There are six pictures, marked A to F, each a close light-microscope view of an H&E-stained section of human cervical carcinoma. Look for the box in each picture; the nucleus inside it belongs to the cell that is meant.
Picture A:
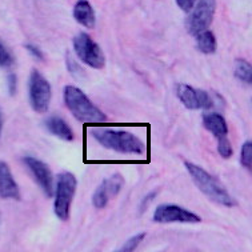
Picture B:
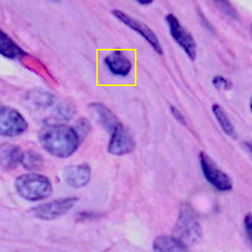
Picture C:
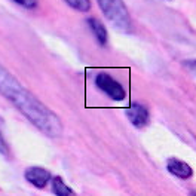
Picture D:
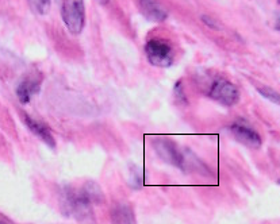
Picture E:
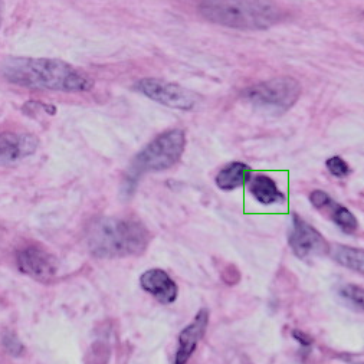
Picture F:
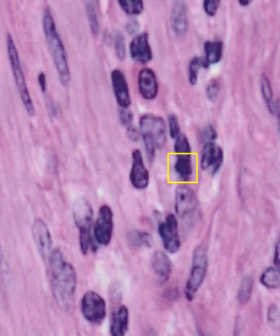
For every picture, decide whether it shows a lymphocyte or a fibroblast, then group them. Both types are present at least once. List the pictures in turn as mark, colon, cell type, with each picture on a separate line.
A: fibroblast
B: fibroblast
C: lymphocyte
D: fibroblast
E: lymphocyte
F: lymphocyte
